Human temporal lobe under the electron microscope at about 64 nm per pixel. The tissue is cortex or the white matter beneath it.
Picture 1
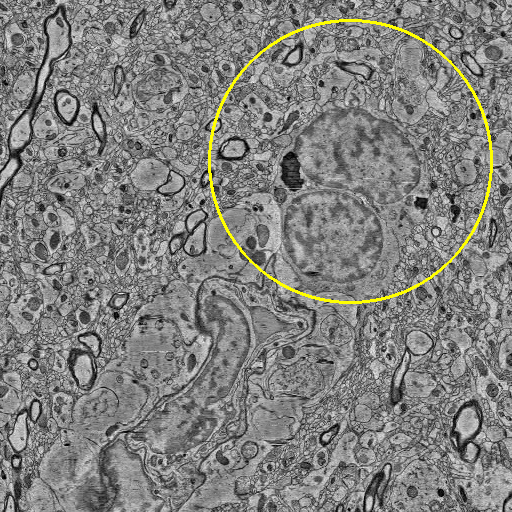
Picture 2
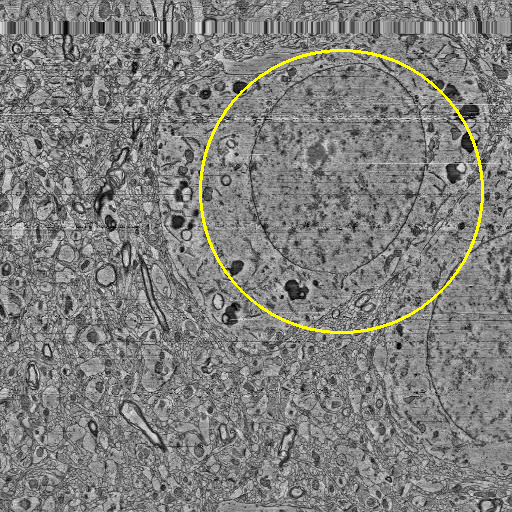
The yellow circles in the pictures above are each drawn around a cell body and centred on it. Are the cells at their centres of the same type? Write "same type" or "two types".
two types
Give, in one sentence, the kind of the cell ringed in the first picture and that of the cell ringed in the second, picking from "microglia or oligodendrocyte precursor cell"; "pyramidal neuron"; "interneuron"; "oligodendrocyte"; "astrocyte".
For the first picture it is an oligodendrocyte; for the second, a pyramidal neuron.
